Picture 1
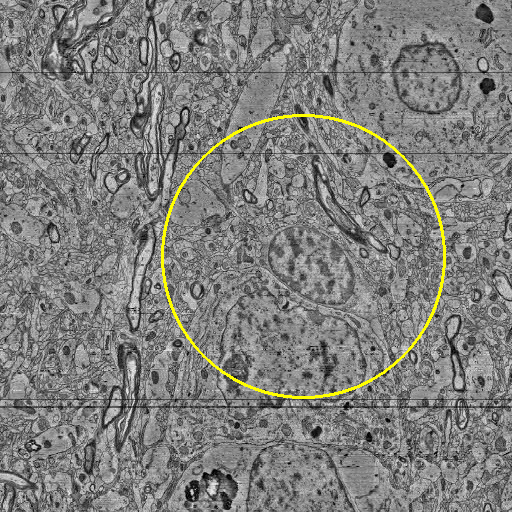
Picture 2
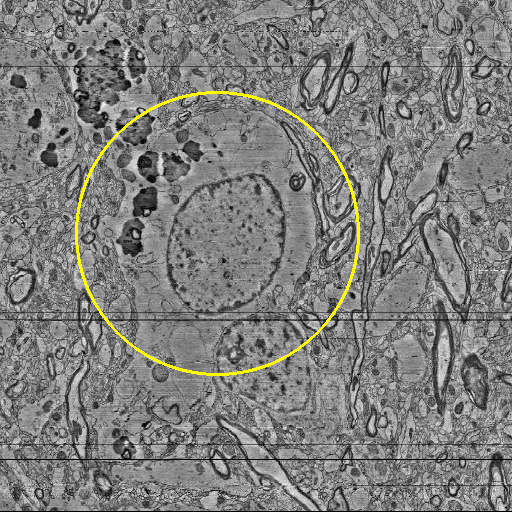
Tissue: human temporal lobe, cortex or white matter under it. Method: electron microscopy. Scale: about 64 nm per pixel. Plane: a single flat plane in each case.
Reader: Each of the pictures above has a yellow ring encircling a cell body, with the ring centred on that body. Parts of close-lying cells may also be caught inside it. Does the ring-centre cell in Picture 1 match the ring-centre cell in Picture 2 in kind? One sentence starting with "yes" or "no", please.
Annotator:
No, Picture 1 and Picture 2 show ring-centre cells of two kinds.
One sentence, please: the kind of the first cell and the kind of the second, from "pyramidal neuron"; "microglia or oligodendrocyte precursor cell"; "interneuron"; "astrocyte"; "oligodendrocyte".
The ring in the first picture surrounds an oligodendrocyte, and the ring in the second surrounds an astrocyte.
